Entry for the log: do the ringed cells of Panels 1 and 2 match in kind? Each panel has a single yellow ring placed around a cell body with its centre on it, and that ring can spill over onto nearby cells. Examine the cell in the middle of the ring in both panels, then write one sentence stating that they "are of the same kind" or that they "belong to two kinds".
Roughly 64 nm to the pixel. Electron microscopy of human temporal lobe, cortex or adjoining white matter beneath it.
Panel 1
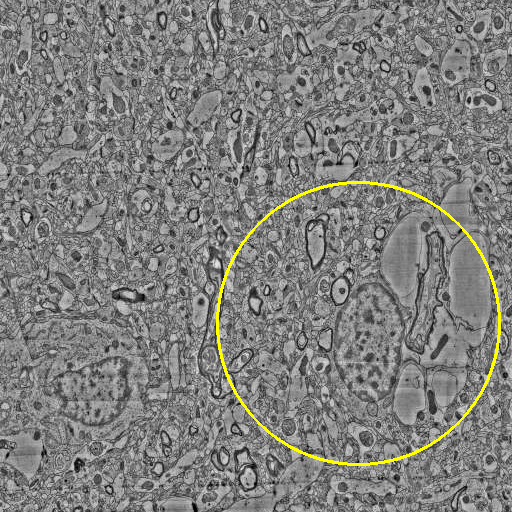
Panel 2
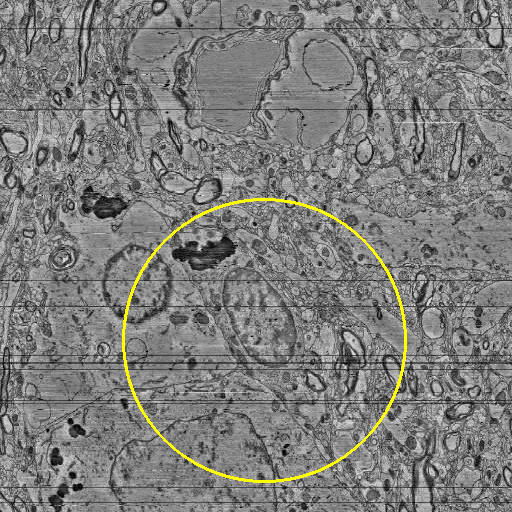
The centre cell of Panel 1's ring and that of Panel 2's ring are of the same kind.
